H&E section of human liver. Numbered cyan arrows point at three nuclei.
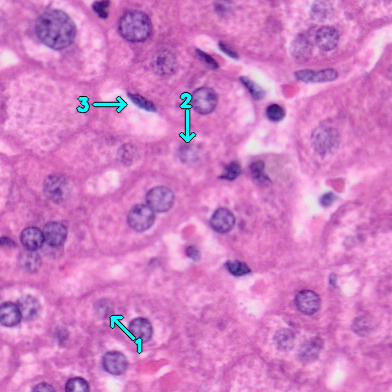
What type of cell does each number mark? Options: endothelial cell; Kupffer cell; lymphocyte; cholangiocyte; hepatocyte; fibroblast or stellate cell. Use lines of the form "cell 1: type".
cell 1: hepatocyte
cell 2: hepatocyte
cell 3: endothelial cell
